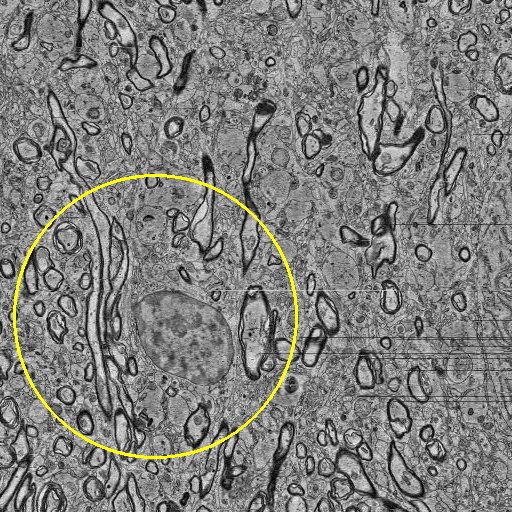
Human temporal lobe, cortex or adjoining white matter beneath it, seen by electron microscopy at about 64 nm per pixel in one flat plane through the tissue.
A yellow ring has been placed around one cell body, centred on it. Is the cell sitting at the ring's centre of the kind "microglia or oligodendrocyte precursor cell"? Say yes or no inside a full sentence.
Yes, the cell sitting at the centre of the yellow ring is of that kind.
